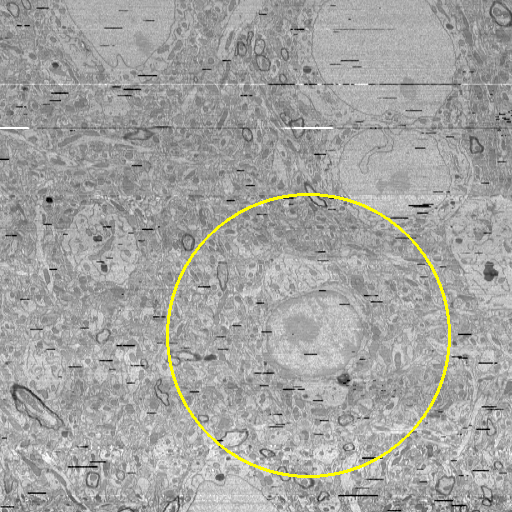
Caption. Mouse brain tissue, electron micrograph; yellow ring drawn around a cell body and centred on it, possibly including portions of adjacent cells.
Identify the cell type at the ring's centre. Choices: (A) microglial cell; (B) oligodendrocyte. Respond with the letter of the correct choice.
B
